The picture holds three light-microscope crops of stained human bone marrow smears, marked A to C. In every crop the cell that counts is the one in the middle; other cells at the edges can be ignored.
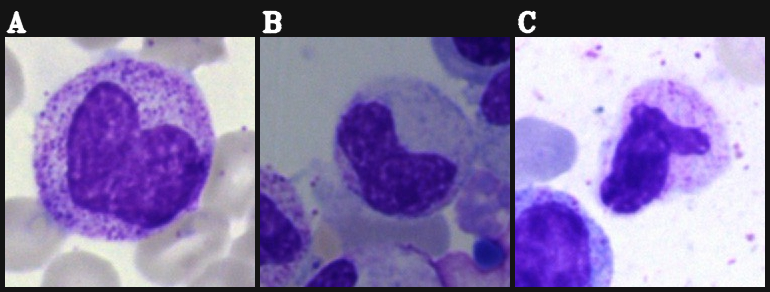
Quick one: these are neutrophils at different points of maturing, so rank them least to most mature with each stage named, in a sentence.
Listed in order of increasing maturity, the crops are crop A (a metamyelocyte), crop B (a band neutrophil) and crop C (a segmented neutrophil).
